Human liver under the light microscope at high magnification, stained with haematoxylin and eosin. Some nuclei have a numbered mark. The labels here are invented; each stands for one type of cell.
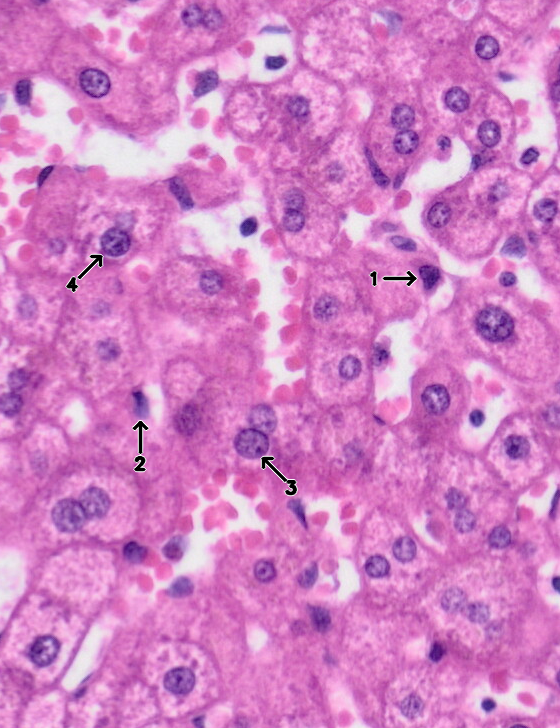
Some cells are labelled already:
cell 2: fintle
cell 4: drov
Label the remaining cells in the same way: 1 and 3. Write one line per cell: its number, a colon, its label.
1: fintle
3: drov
